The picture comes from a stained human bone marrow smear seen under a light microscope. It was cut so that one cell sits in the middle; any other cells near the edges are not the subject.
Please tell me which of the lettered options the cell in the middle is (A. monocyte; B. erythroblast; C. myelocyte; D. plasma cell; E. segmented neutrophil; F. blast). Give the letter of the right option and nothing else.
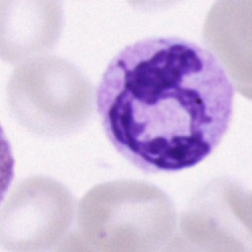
E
